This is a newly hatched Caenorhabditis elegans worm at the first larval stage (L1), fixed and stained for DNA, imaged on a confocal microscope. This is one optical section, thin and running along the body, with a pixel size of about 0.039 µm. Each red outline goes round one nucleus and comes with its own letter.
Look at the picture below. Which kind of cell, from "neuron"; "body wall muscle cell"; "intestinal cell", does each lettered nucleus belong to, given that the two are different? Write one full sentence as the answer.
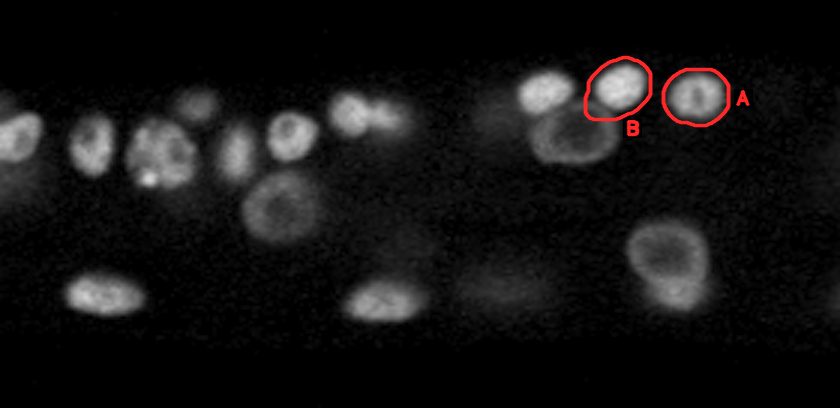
One is from a body wall muscle cell, namely A, and the other, B, is from a neuron.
